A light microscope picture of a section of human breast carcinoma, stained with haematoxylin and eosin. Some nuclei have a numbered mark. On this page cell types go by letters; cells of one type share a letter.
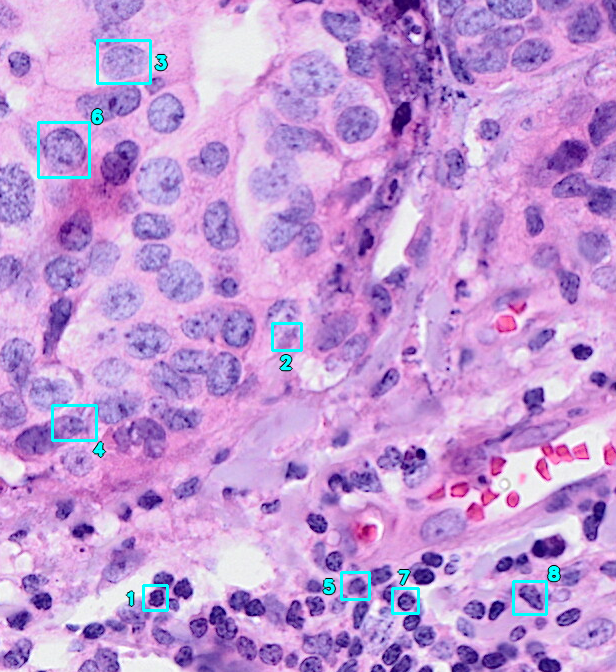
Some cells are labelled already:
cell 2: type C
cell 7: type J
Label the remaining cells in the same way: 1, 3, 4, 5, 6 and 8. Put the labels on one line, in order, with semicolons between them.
type J; type C; type C; type J; type C; type J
